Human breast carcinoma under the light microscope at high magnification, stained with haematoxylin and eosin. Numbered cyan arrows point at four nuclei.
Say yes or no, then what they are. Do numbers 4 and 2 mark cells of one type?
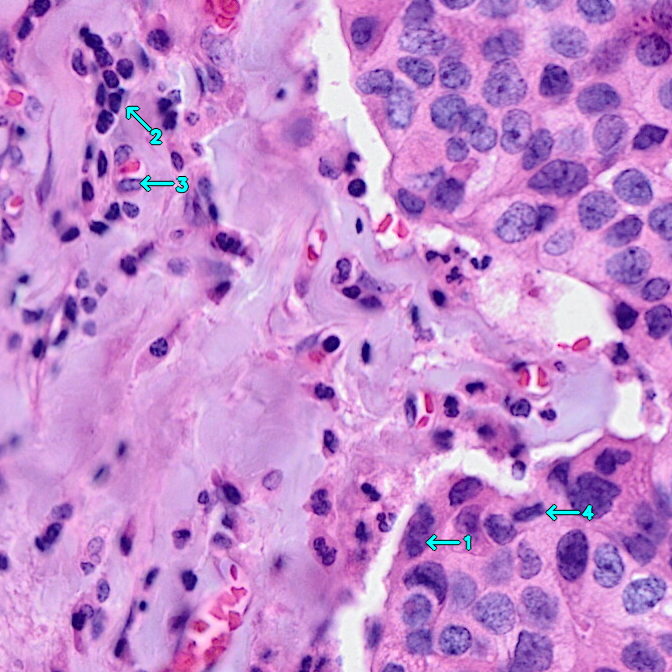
No, cell 4 is a carcinoma cell and cell 2 is a lymphocyte.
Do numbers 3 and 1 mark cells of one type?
No, cell 3 is an endothelial cell and cell 1 is a carcinoma cell.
